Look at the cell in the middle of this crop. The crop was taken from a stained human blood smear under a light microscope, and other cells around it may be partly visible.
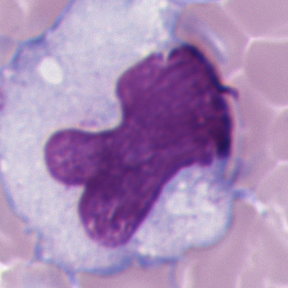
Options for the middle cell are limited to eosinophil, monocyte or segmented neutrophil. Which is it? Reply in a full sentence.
The central cell in this smear crop is a monocyte.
